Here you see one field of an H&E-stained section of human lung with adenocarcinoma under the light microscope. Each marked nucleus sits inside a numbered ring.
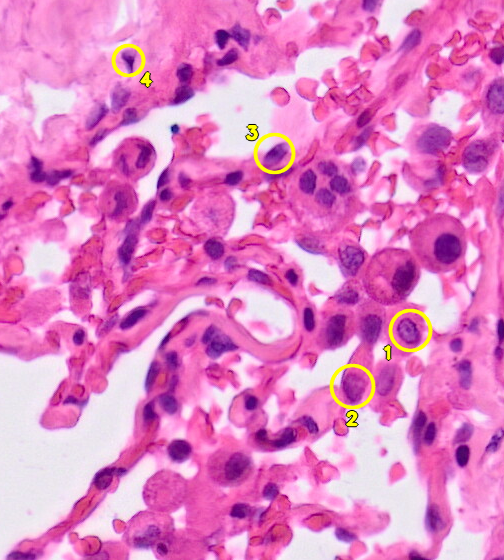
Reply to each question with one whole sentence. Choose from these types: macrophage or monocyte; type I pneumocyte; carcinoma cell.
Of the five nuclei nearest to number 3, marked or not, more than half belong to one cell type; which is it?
Most of the five nuclei nearest to number 3 are those of macrophages or monocytes.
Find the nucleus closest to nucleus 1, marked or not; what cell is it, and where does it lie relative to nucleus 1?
The closest nucleus belongs to a macrophage or monocyte and sits to the left of nucleus 1.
